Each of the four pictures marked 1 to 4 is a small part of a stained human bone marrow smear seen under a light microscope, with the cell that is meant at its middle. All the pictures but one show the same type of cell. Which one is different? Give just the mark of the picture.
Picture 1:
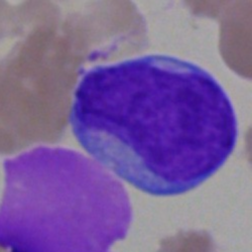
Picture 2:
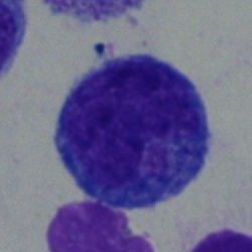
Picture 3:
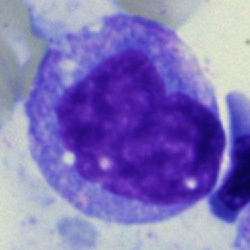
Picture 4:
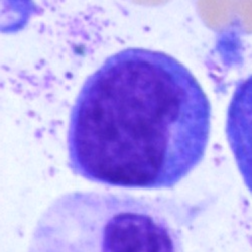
3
